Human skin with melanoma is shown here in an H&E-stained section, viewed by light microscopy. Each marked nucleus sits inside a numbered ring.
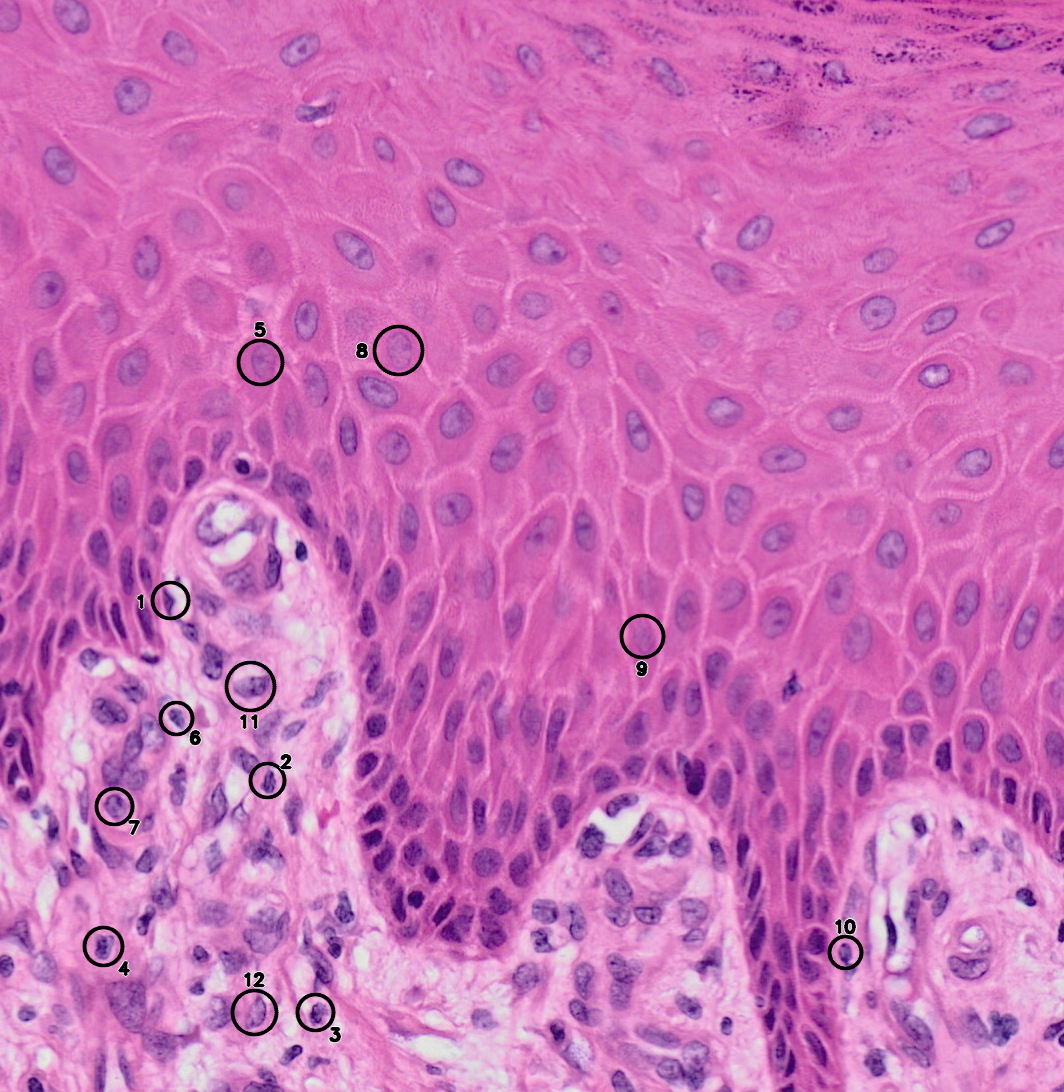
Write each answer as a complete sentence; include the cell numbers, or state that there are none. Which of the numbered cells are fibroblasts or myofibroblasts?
Cell 1 is a fibroblast or myofibroblast; the remaining numbered cells are not.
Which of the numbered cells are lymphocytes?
In this section, the cells labelled 2, 3, 4, 6 and 10 are lymphocytes.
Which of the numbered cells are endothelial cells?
The cells numbered 7, 11 and 12 are, by type, endothelial cells.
